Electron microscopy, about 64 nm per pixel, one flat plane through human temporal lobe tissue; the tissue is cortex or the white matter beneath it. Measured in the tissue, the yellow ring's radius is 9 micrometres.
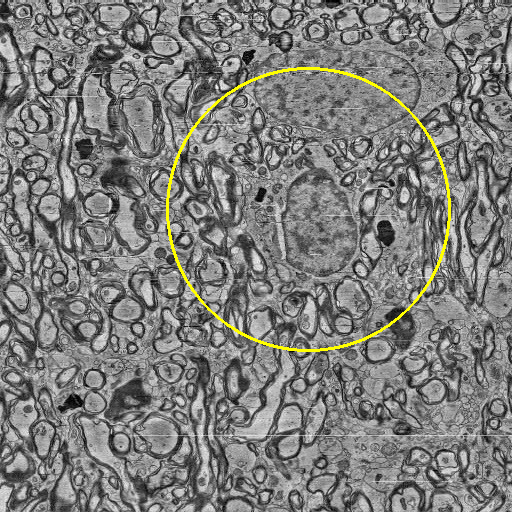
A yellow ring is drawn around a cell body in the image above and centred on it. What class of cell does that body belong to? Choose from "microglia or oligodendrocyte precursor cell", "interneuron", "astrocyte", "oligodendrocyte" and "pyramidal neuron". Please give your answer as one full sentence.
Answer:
The yellow ring above is centred on the cell body of an oligodendrocyte.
